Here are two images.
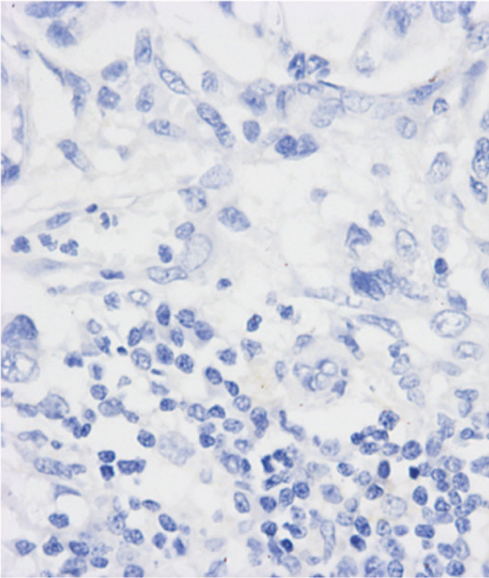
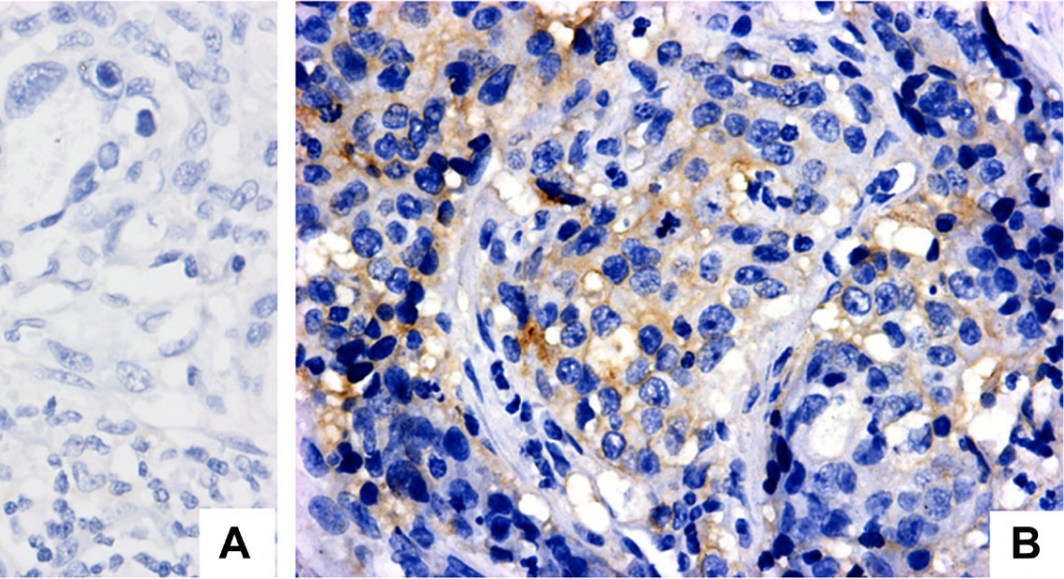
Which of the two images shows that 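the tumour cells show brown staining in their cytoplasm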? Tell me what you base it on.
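Second image: patches of brown granular stain lie in the cytoplasm of the large tumour cells. First image: the cells show only blue nuclei and pale cytoplasm, with no brown stain. So: the second image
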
